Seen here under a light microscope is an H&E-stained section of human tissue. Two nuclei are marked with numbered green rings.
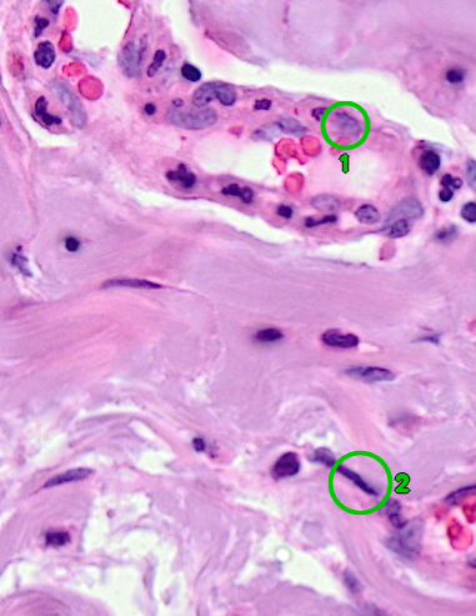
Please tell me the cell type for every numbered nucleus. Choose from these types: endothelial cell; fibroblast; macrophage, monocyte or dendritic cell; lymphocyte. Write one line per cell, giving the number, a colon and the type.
1: endothelial cell
2: fibroblast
